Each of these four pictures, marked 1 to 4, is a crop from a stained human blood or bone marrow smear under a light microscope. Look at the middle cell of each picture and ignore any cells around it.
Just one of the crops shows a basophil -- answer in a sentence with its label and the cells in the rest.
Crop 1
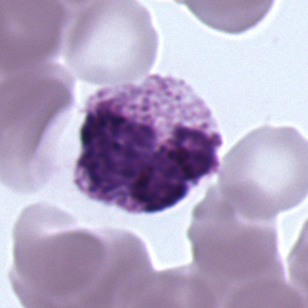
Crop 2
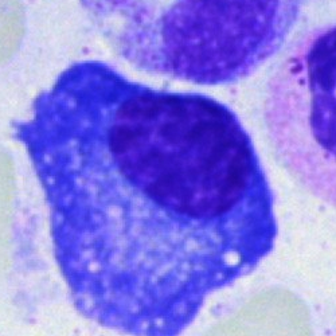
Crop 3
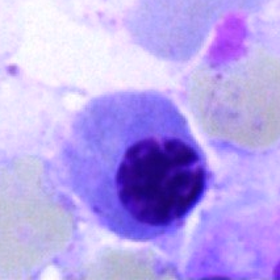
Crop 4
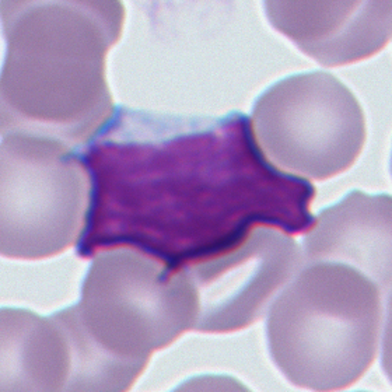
Here crop 1 shows a basophil, while crop 2 is a plasma cell, crop 3 is an erythroblast and crop 4 is a lymphocyte.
